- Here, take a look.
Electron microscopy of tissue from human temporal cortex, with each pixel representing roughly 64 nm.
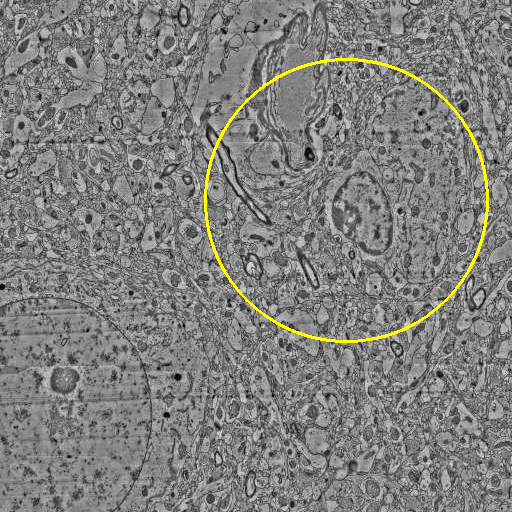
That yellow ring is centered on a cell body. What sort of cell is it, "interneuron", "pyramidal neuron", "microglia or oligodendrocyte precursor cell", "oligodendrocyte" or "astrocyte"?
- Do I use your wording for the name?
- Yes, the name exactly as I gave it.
microglia or oligodendrocyte precursor cell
